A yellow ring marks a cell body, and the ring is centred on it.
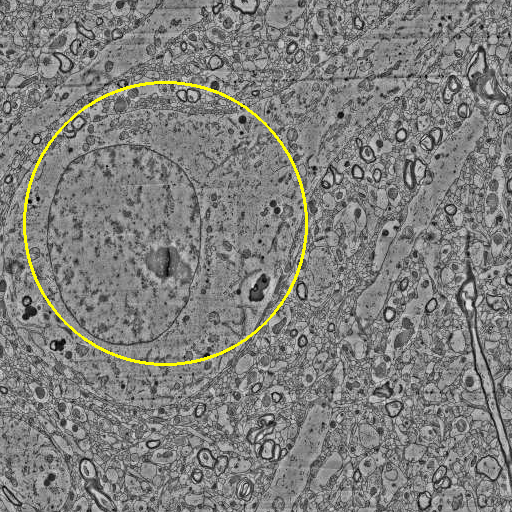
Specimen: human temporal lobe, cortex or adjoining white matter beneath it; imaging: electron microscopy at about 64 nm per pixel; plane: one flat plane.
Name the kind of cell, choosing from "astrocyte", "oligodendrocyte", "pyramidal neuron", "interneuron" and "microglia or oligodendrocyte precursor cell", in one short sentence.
The marked cell body belongs to a pyramidal neuron.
